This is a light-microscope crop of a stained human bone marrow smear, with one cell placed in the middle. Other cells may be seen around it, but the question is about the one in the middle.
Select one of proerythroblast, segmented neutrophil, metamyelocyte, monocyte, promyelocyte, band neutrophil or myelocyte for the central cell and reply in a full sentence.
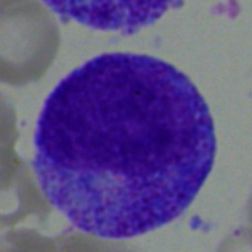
The cell sitting right in the middle is a promyelocyte.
